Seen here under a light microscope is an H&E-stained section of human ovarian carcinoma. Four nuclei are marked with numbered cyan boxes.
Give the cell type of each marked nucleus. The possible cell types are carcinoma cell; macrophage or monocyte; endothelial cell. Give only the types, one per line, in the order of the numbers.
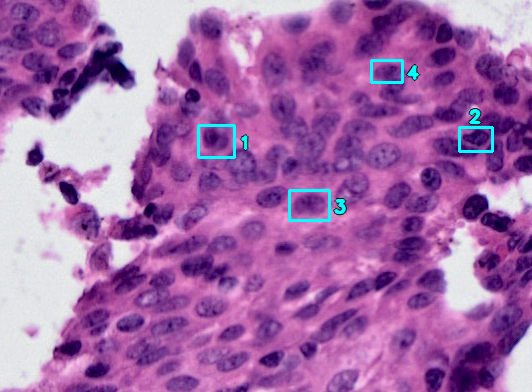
carcinoma cell
macrophage or monocyte
carcinoma cell
carcinoma cell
